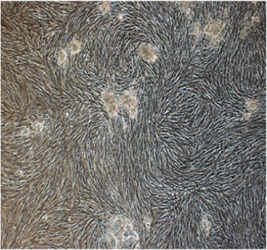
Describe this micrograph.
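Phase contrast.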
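The colonies are compact, rounded or irregular clusters of tightly packed small cells that appear paler and more refractile than the surrounding layer, with fairly distinct borders. They are scattered across the field, separated by the streaming elongated cells, and vary in size. Within the colonies individual cell outlines are hard to make out because the cells are crowded together, unlike the long, thin cells around them.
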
